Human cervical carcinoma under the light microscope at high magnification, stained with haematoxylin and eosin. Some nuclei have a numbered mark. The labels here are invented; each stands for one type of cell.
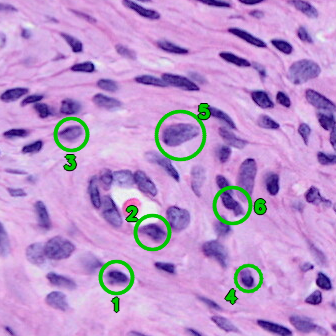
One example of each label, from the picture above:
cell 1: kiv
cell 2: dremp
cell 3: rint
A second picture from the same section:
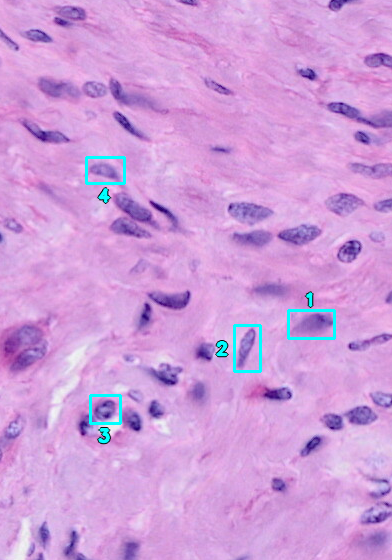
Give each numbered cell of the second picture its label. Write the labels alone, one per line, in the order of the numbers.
rint
rint
dremp
rint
